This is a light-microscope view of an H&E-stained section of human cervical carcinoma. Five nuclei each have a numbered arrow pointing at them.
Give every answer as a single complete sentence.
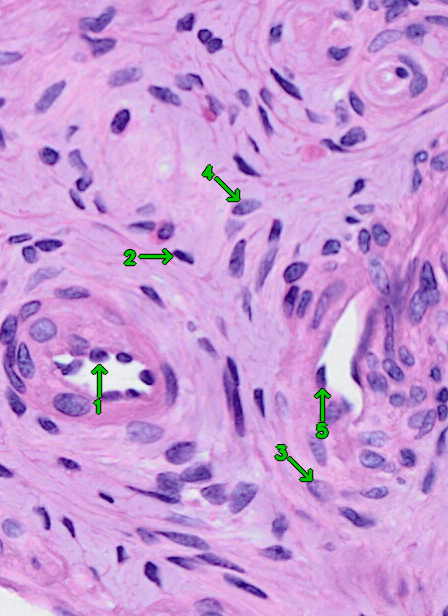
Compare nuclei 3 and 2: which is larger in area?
Nucleus 3 covers more area, about 2.5 times as much as nucleus 2.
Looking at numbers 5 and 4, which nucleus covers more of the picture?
Nucleus 4 is the larger one, covering about 1.5 times the area of nucleus 5.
